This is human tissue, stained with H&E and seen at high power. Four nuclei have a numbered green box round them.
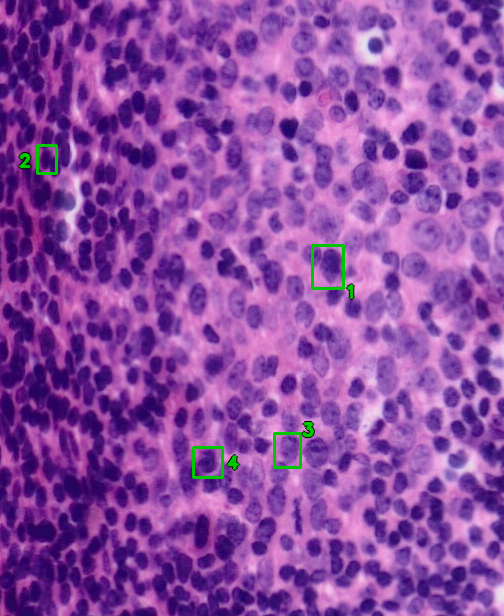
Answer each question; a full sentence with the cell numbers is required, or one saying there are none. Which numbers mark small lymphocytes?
Cell 2 is a small lymphocyte, and this holds for no other numbered cell.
